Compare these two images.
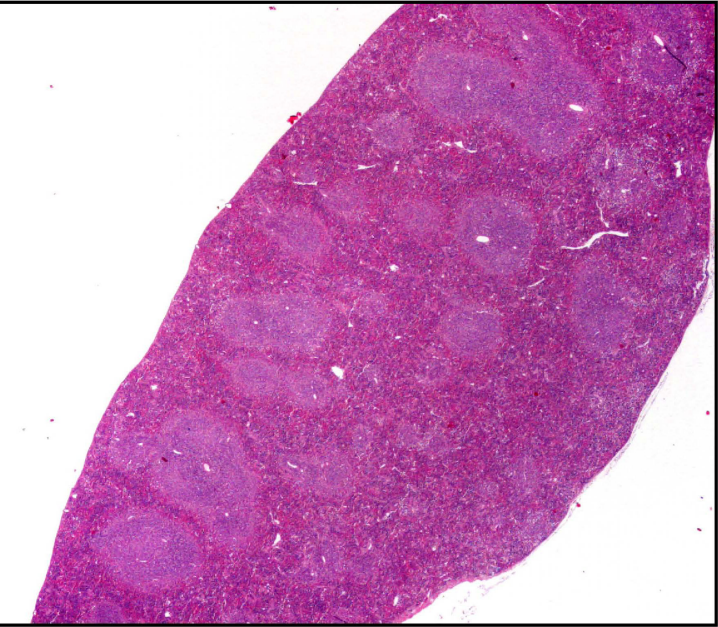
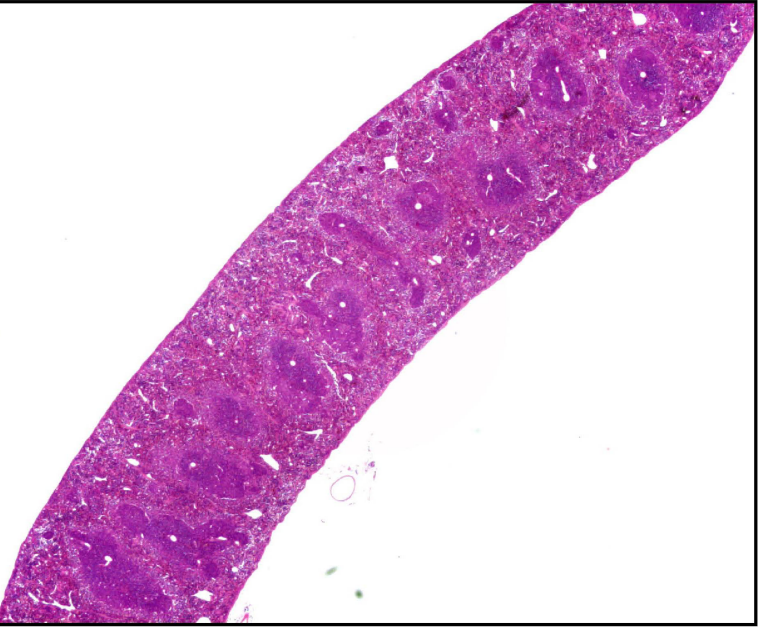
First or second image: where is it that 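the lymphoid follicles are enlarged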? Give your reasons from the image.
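The first image. First image: the rounded nodules are large and broad, and fill much of the section. Second image: the nodules are smaller, compact and well separated by red tissue.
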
